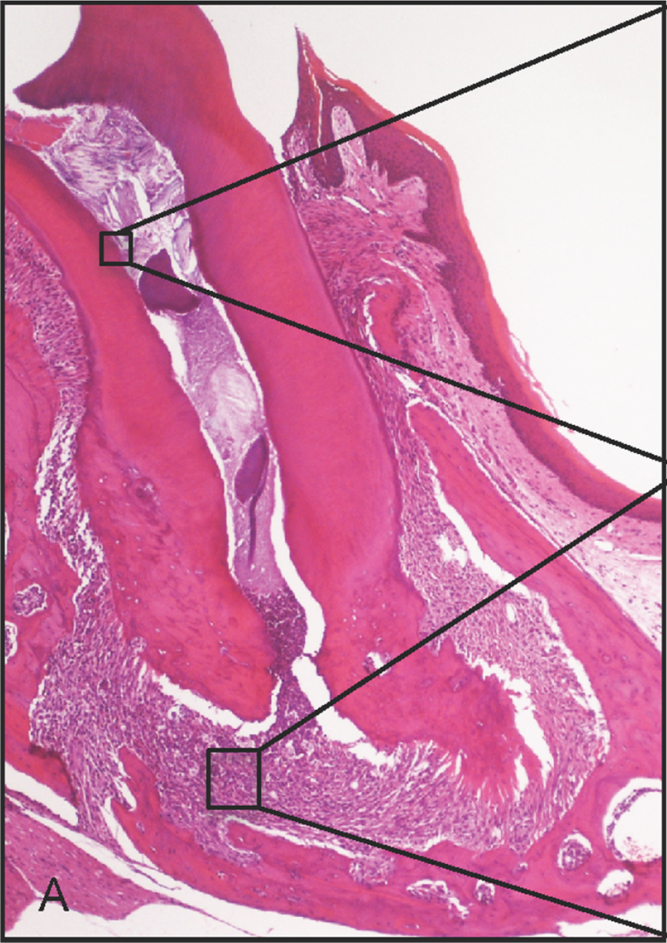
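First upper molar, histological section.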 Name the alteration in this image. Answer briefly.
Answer: Periapical granuloma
